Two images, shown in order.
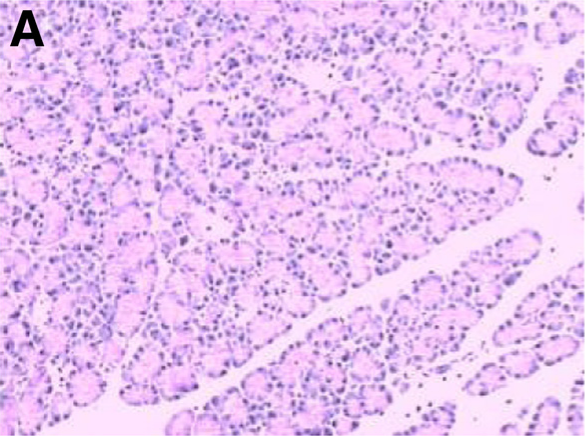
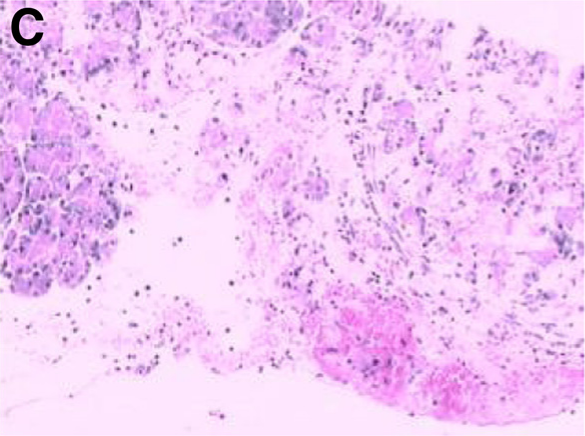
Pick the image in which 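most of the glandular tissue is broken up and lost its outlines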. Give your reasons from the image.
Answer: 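Second image: most of the field is pale, fragmented tissue with few intact glandular units. First image: glandular units fill the field with intact outlines.
The second image.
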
